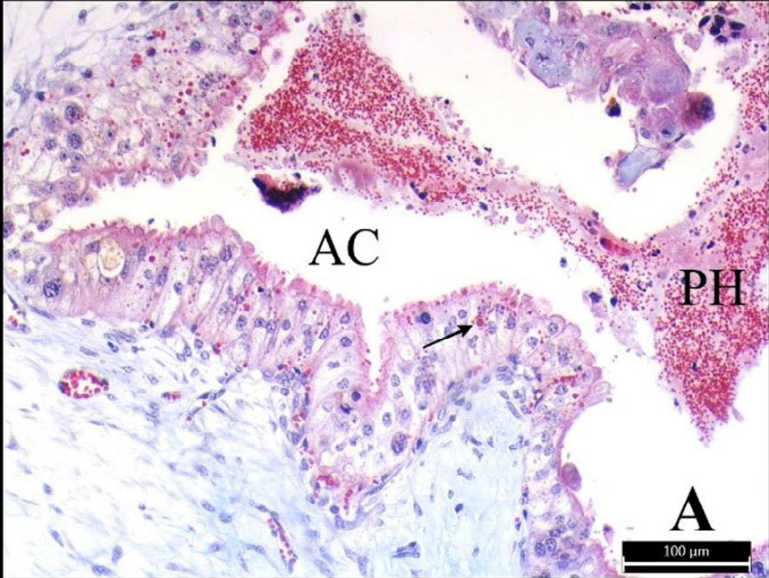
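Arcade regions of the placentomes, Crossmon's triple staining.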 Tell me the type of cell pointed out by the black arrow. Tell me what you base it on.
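Erythrocyte. The arrow tip touches a small round red body inside the cytoplasm of a tall cell lining the space. The body has the same red colour and size as the many free blood cells pooled nearby.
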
